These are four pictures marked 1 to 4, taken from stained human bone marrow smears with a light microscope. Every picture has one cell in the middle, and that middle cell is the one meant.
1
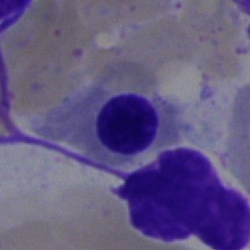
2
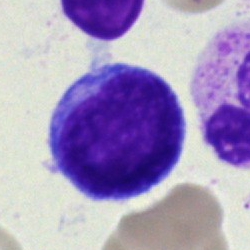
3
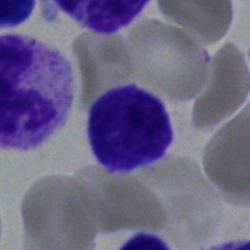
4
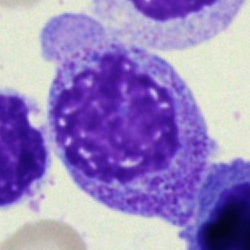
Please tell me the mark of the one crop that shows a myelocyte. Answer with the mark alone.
4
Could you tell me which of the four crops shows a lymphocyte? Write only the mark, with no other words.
3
